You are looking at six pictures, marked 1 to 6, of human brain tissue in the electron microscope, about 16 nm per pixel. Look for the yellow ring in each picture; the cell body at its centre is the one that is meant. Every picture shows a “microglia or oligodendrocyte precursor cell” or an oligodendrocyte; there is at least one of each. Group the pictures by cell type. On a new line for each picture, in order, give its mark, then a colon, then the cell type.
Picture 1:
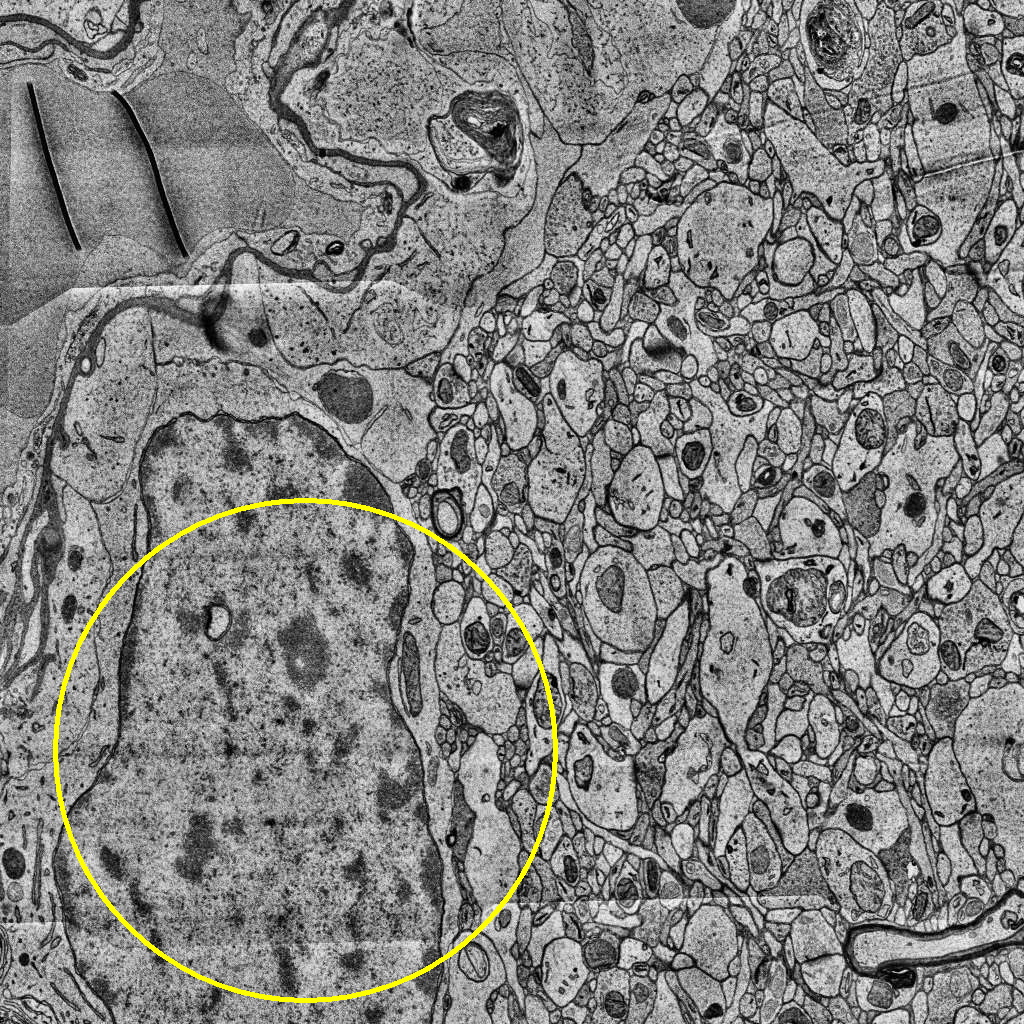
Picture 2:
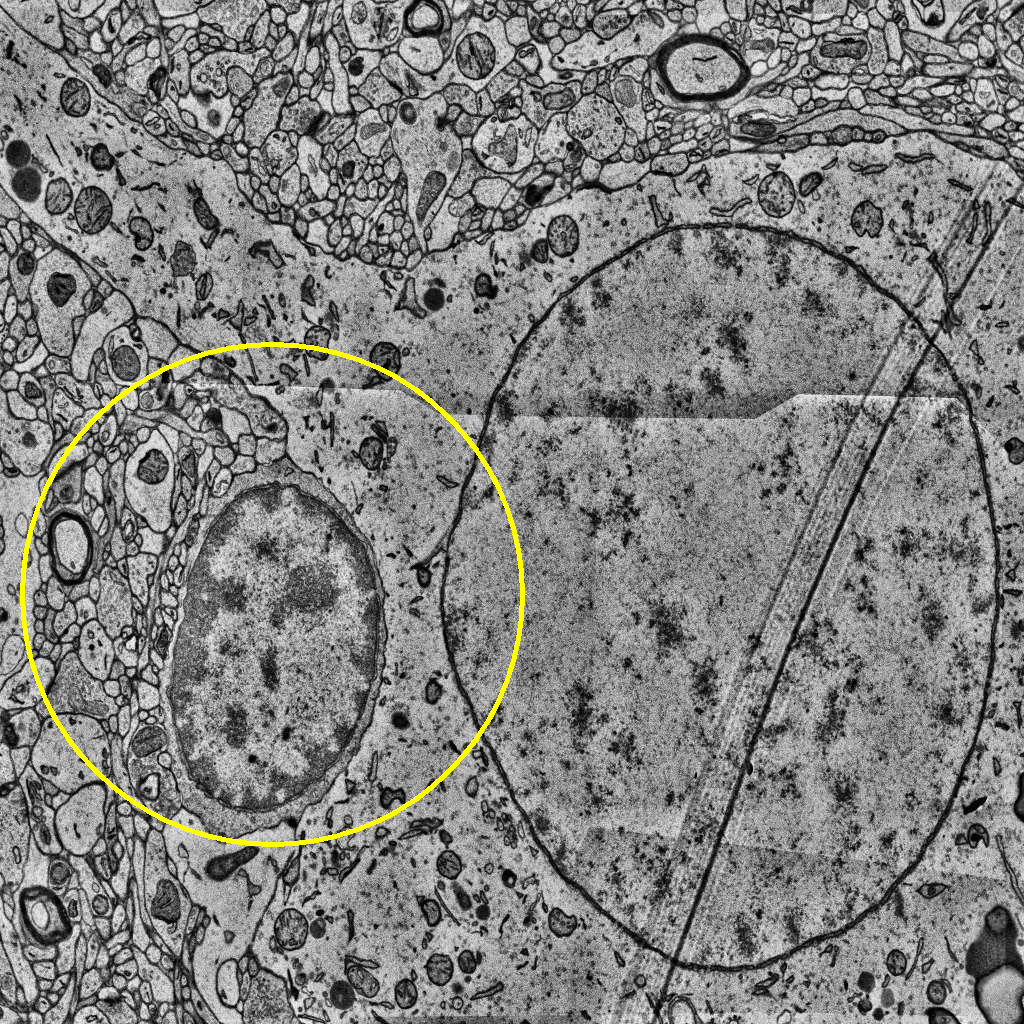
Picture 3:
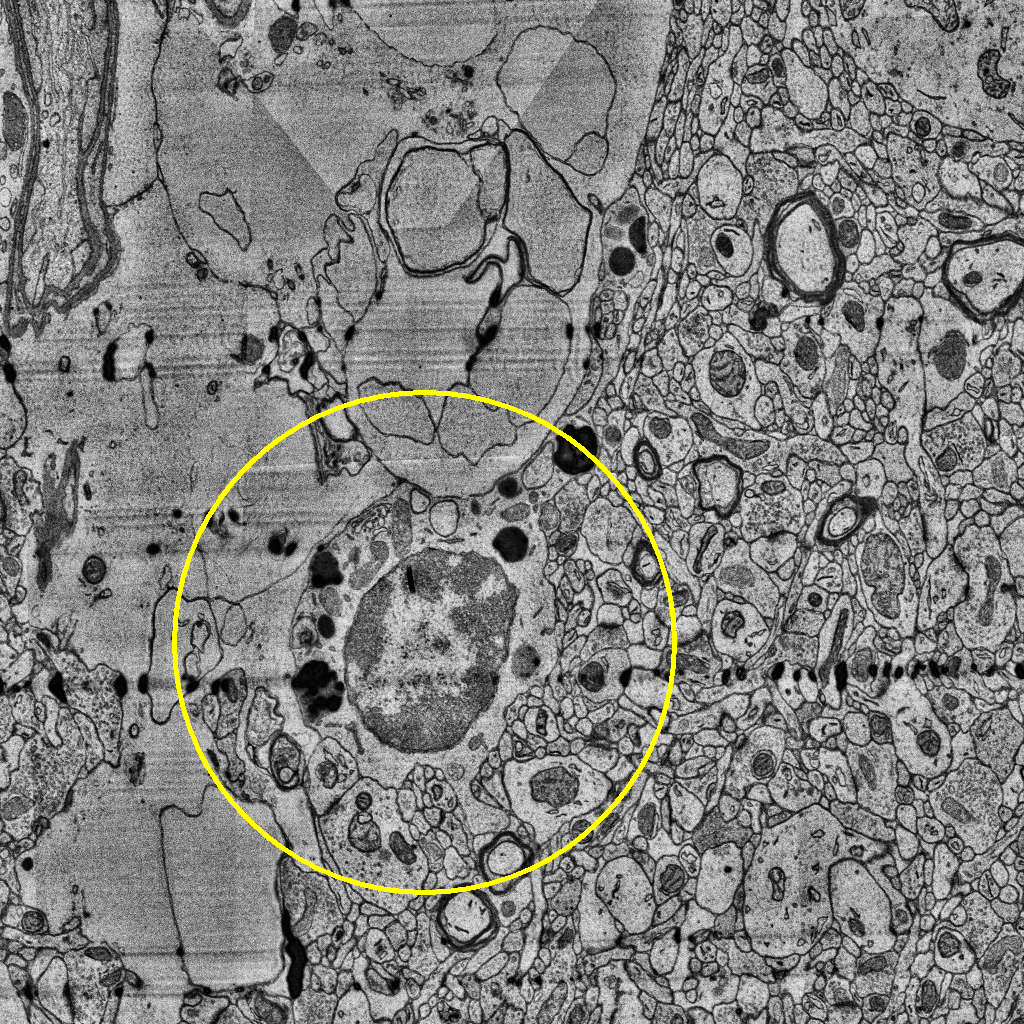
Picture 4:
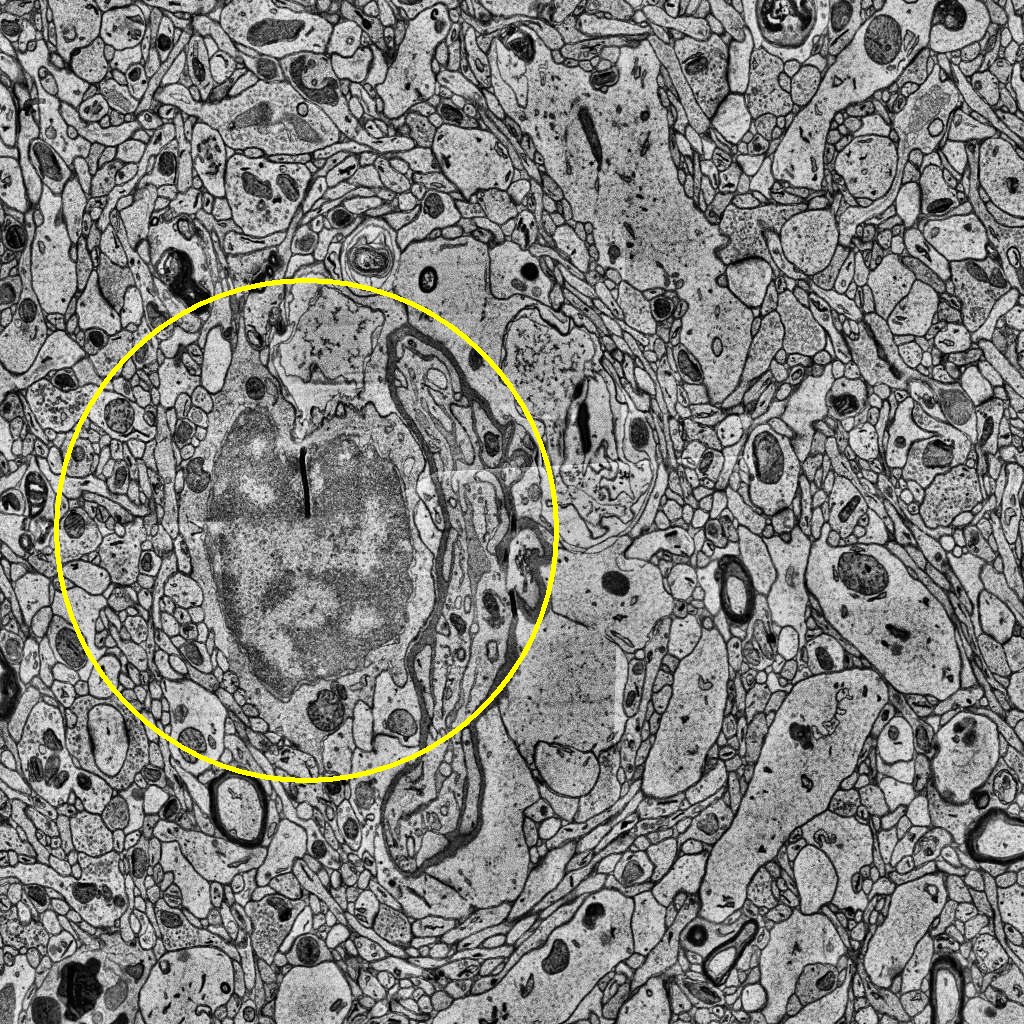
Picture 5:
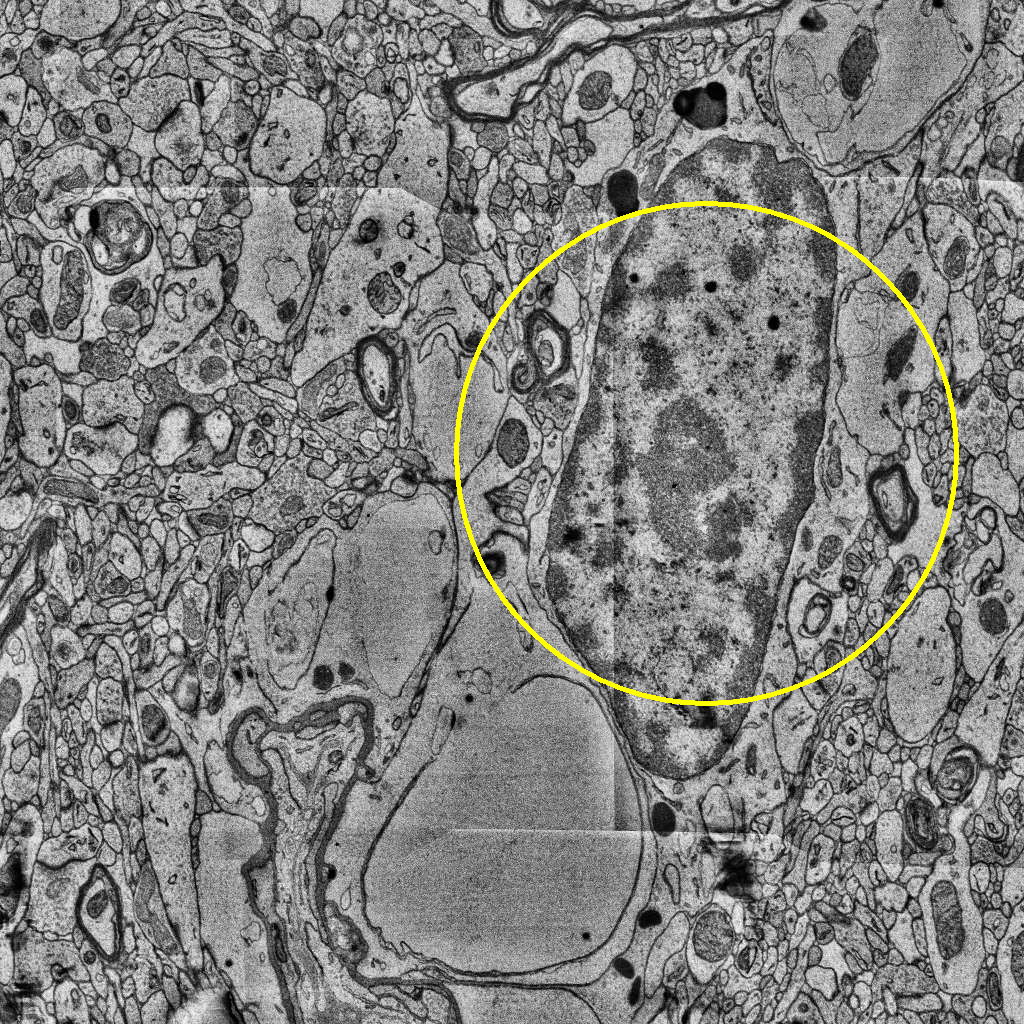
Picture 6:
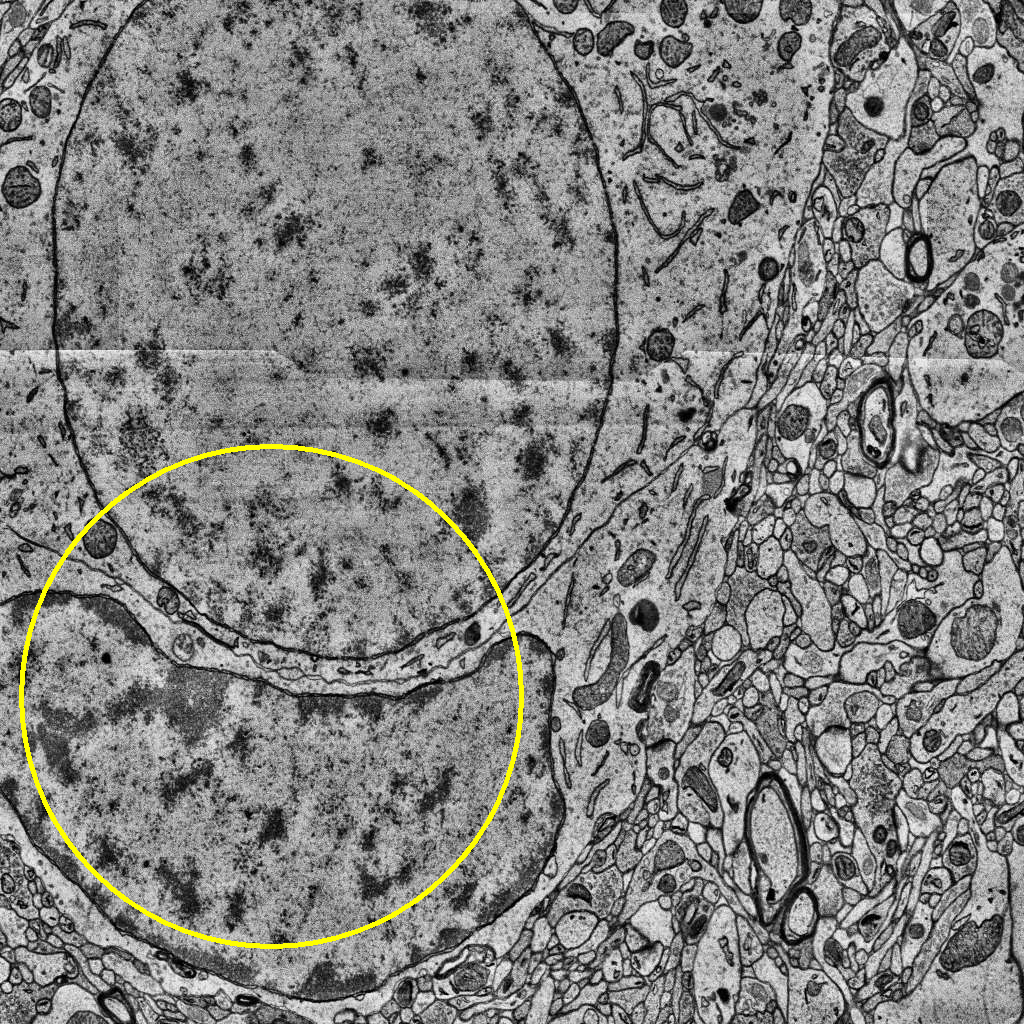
1: microglia or oligodendrocyte precursor cell
2: oligodendrocyte
3: microglia or oligodendrocyte precursor cell
4: oligodendrocyte
5: microglia or oligodendrocyte precursor cell
6: microglia or oligodendrocyte precursor cell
